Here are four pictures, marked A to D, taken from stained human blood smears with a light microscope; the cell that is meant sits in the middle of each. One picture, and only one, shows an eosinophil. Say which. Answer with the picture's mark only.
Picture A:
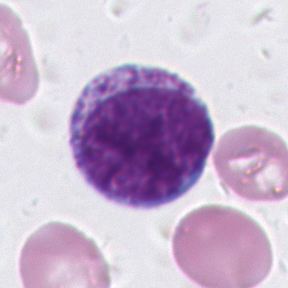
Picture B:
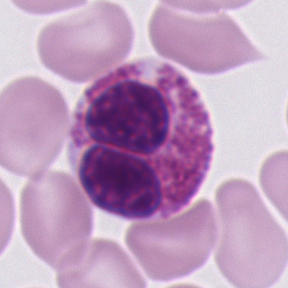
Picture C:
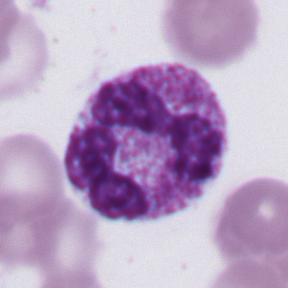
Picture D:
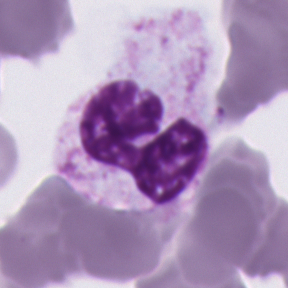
B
